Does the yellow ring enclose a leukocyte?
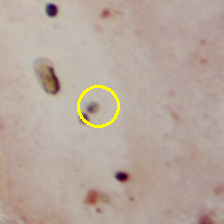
Yes. The ring encloses a leukocyte.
